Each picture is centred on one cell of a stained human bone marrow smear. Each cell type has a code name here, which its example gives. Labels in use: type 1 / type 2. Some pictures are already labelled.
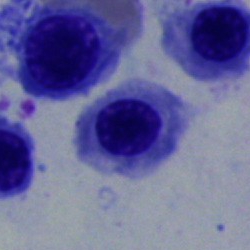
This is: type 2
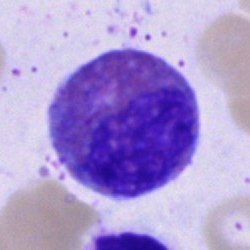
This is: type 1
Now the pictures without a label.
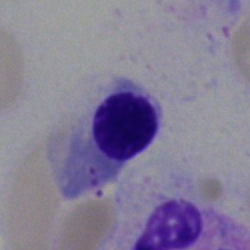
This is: type 2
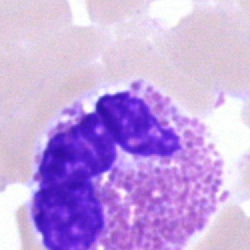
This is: type 1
